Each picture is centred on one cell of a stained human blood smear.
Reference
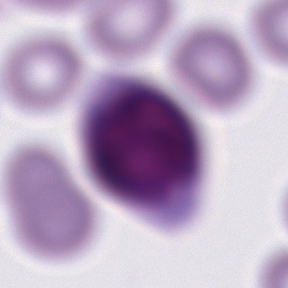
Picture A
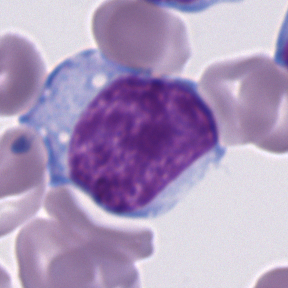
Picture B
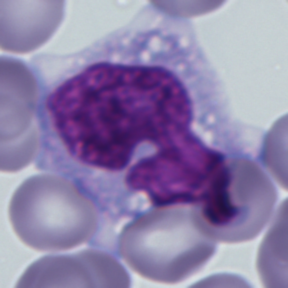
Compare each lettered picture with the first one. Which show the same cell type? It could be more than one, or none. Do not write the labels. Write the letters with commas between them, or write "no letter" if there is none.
A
